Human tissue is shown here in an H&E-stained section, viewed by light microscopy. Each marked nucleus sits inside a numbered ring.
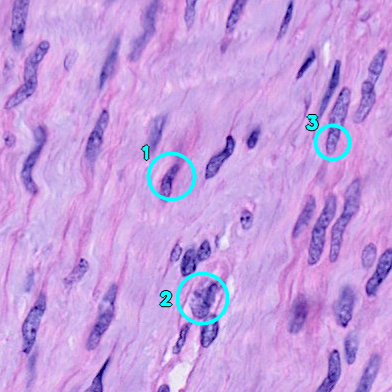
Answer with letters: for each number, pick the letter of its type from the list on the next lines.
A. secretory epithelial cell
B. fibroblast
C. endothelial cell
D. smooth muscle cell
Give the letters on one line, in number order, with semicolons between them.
D; C; D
